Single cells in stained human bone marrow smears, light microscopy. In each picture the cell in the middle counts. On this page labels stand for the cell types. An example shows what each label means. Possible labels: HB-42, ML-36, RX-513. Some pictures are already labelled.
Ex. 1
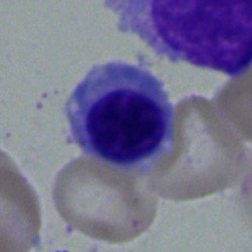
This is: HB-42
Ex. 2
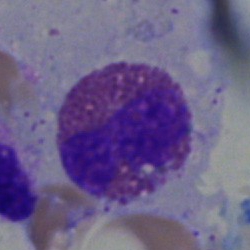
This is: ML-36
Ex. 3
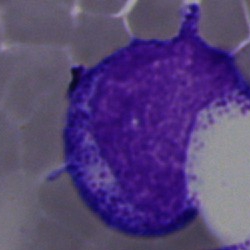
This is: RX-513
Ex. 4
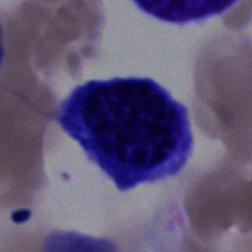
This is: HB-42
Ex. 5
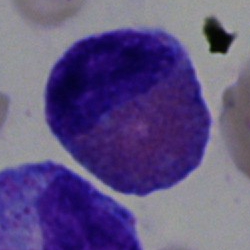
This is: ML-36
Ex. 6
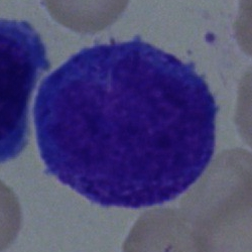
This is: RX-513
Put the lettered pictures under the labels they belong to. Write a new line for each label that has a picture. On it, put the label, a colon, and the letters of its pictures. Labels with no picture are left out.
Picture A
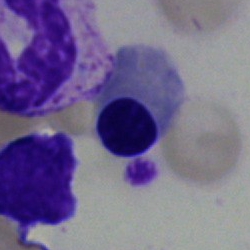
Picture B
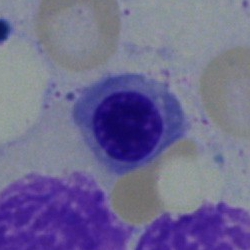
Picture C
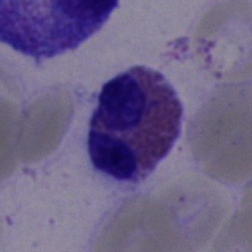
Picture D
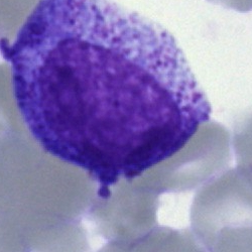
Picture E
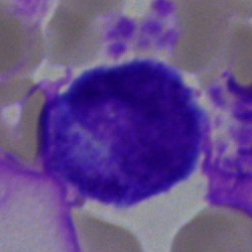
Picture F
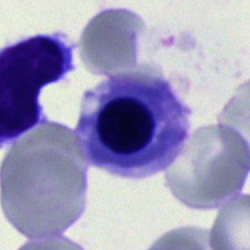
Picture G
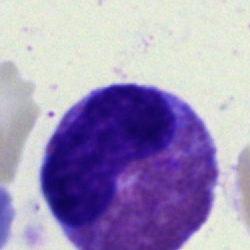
HB-42: A, B, F
ML-36: C, G
RX-513: D, E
